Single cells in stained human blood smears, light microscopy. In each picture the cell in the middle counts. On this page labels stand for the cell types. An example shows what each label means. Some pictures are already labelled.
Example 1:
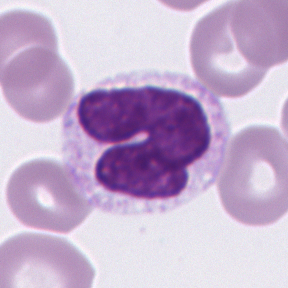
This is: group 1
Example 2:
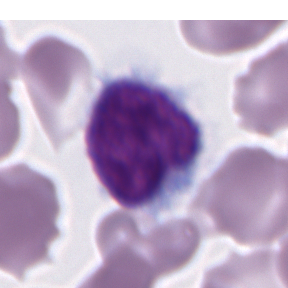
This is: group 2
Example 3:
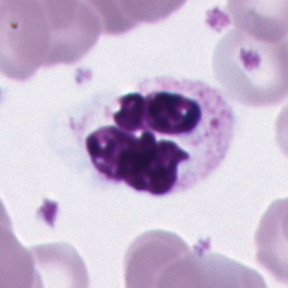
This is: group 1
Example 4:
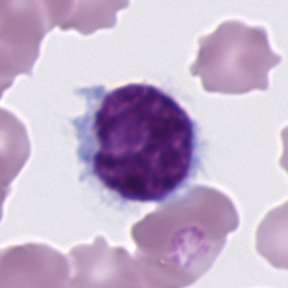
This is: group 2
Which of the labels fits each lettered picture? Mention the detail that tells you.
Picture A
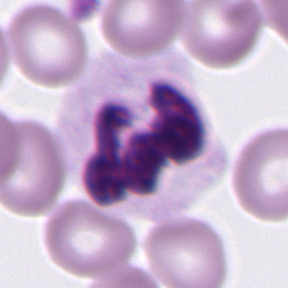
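group 1. The nucleus is divided into several lobes joined in a chain.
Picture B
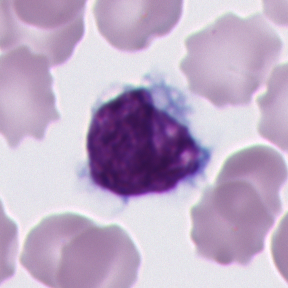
group 2. The cytoplasm forms only a narrow rim around the nucleus.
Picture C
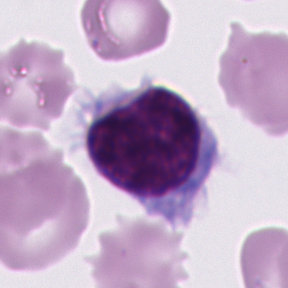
group 2. The nucleus fills most of the cell.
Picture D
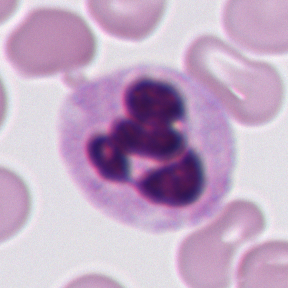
group 1. The cytoplasm is plentiful and pale pinkish-lilac.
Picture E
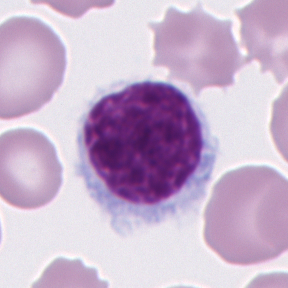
group 2. The cytoplasm forms a narrow rim that is widest below the nucleus.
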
